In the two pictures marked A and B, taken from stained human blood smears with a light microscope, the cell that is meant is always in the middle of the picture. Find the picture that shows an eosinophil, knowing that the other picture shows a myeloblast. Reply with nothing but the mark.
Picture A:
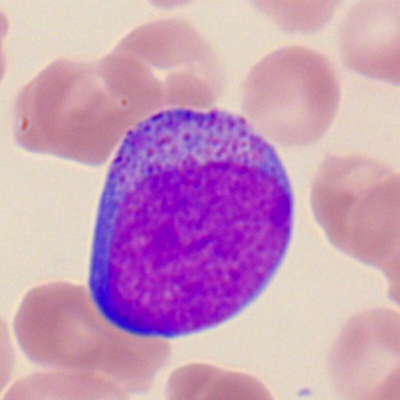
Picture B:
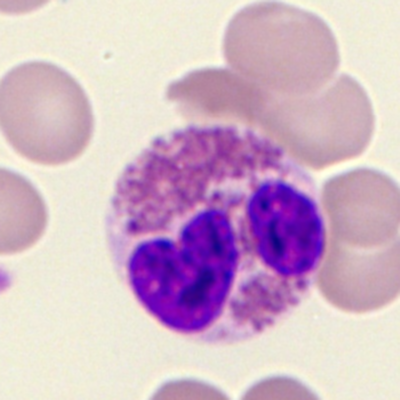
B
